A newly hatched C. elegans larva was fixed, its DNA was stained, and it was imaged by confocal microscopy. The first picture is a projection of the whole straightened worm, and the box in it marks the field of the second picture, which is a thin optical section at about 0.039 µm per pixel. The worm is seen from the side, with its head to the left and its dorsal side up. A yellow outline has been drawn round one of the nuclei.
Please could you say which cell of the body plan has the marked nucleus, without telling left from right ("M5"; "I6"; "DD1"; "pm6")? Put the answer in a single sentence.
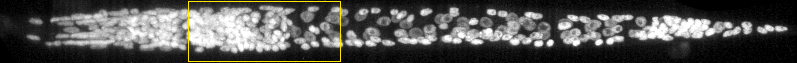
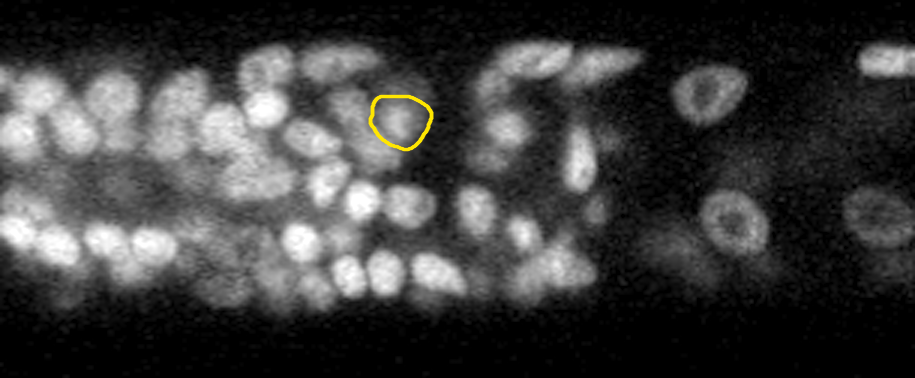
The marked nucleus belongs to I6, a neuron.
